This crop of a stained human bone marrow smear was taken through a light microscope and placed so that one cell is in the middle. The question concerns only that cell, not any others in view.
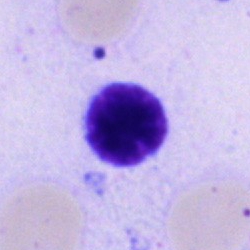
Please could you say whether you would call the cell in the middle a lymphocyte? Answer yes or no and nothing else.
yes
